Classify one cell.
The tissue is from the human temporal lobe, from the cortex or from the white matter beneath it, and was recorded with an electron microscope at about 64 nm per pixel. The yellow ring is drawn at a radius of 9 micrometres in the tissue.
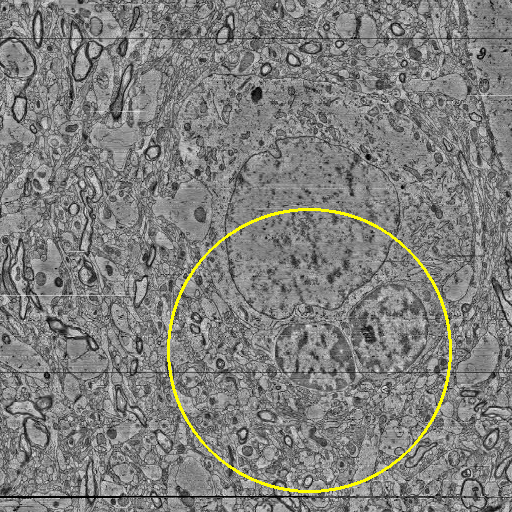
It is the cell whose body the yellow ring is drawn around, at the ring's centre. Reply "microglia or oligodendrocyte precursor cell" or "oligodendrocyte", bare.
microglia or oligodendrocyte precursor cell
